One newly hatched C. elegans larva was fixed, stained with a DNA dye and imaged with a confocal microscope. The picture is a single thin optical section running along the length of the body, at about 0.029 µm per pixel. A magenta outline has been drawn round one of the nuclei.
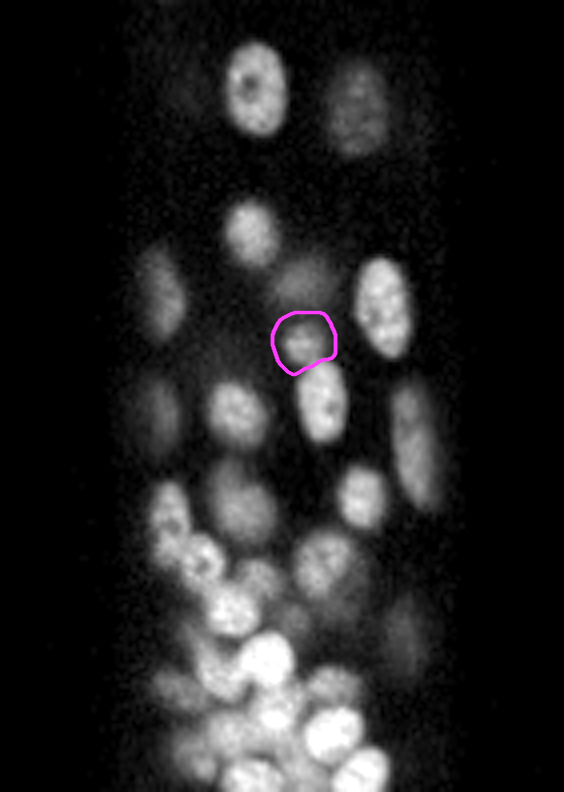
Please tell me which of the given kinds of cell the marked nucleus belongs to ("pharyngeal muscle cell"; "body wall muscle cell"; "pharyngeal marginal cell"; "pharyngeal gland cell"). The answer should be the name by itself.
pharyngeal gland cell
